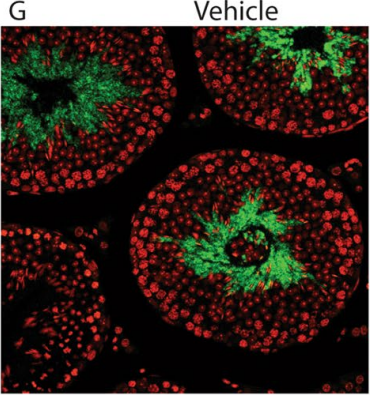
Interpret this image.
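These are cross-sectioned seminiferous tubules of the testis, each a round profile with many layers of red-counterstained nuclei around a central lumen. The green material forms elongated streaming profiles that converge on and partly fill the lumen. Dark narrow spaces between the tubules mark the interstitium.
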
